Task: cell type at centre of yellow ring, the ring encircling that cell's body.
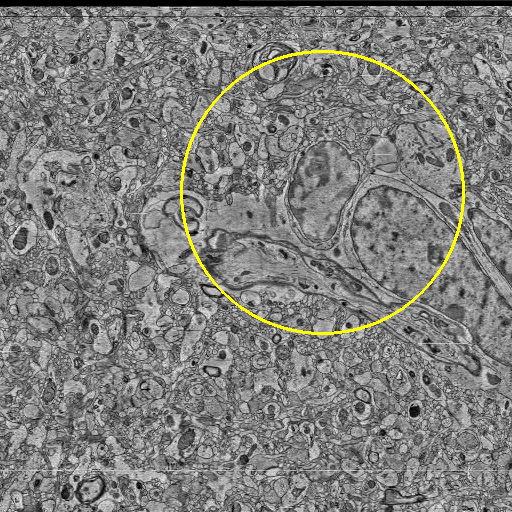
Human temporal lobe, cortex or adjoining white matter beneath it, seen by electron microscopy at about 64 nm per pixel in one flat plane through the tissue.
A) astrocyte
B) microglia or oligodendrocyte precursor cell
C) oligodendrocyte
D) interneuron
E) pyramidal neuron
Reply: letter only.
B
